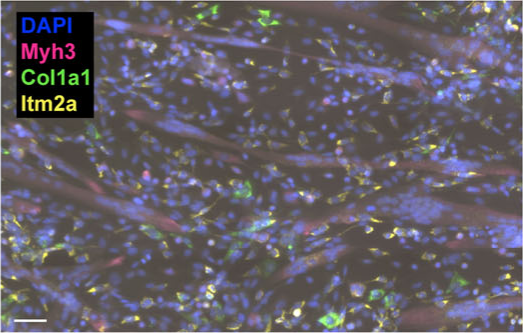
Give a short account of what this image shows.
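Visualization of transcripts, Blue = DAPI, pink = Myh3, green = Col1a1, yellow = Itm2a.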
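Fluorescence view of a differentiating muscle cell culture with long myotubes among mononucleated cells. The myotubes run as long, thin, roughly parallel fibres diagonally across the field. Pink signal fills the myotubes, and rows of blue nuclei lie along them. Between the myotubes are many small mononucleated cells with single round to oval blue nuclei. Some of these cells carry green or yellow signal, and a few are spindle-shaped or irregular. The field is dense, with nuclei crowded over most of the surface.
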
